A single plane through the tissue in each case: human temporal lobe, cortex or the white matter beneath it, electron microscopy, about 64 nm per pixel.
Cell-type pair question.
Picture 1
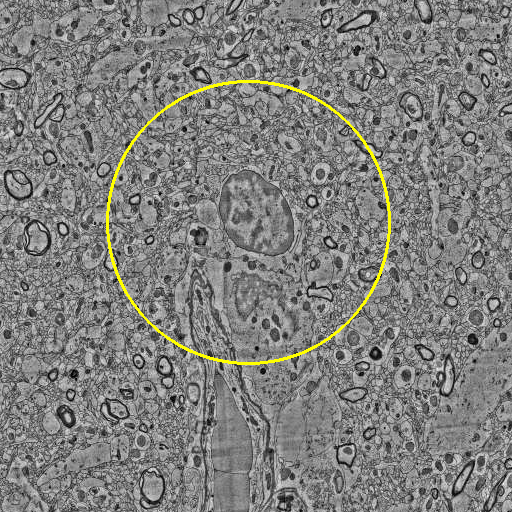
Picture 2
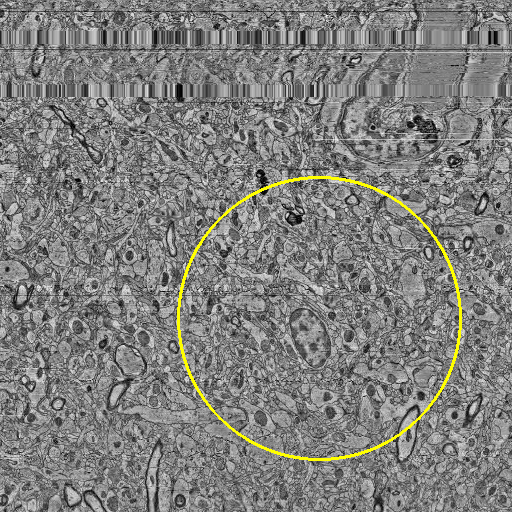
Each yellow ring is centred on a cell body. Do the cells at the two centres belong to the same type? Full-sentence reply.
Yes, the two cells belong to the same type.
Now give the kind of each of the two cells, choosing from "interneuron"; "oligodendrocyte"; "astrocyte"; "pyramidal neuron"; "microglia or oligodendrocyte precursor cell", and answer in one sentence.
In the first picture and in the second, the ring is centred on a microglial cell or oligodendrocyte precursor cell.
